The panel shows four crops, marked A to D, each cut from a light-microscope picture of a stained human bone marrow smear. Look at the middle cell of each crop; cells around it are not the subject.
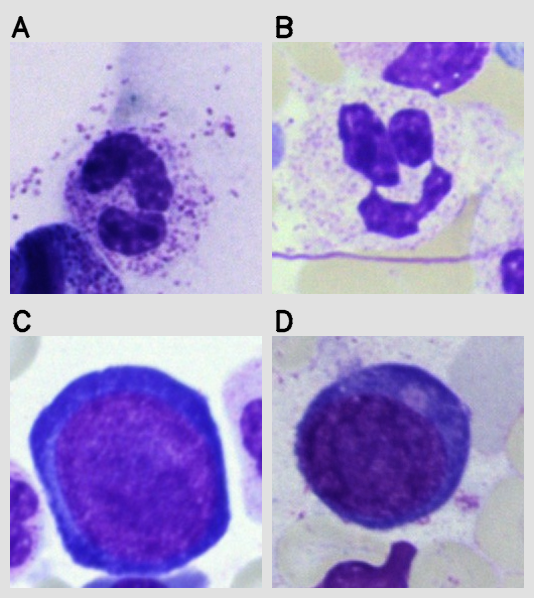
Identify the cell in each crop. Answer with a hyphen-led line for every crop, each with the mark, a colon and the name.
- A: segmented neutrophil
- B: segmented neutrophil
- C: proerythroblast
- D: proerythroblast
